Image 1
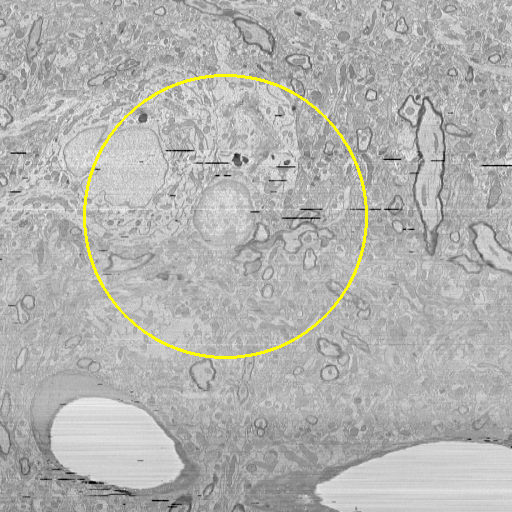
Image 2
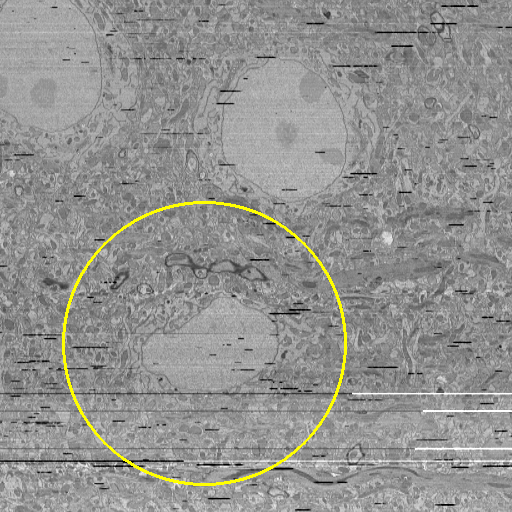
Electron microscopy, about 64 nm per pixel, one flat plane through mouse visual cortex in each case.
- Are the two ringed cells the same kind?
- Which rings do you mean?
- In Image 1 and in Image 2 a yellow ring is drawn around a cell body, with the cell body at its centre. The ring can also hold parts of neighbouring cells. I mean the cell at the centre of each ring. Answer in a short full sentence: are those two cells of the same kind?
No, the cells are of two kinds.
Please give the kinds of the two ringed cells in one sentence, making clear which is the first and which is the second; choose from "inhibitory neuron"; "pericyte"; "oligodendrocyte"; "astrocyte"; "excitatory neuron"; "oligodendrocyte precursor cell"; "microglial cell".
In the second picture the ringed cell is an inhibitory neuron; in the first it is an oligodendrocyte.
